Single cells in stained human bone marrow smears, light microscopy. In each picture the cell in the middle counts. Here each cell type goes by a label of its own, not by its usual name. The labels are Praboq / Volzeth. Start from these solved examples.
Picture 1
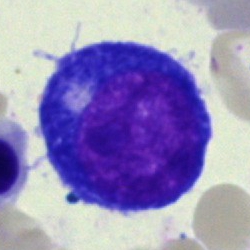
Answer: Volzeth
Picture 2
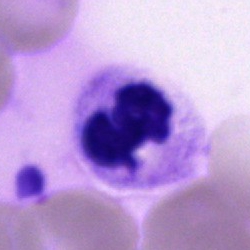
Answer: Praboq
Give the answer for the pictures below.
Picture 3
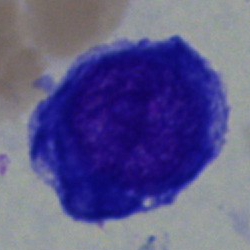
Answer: Volzeth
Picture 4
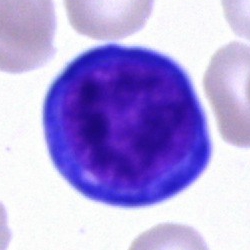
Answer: Volzeth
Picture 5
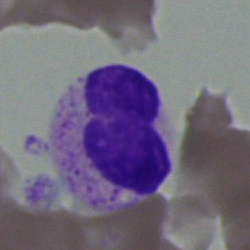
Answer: Praboq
